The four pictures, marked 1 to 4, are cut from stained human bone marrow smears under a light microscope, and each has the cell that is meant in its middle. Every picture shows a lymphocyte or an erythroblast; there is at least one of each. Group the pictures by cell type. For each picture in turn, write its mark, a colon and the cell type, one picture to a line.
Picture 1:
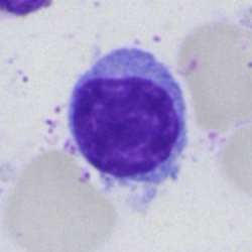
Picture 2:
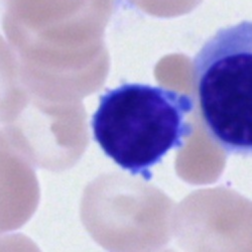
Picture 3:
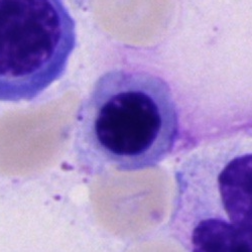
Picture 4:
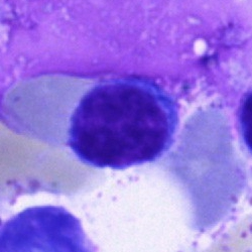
1: lymphocyte
2: lymphocyte
3: erythroblast
4: lymphocyte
